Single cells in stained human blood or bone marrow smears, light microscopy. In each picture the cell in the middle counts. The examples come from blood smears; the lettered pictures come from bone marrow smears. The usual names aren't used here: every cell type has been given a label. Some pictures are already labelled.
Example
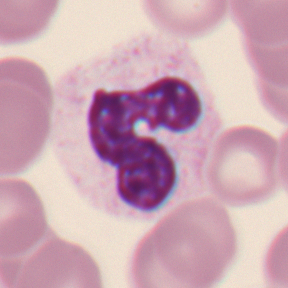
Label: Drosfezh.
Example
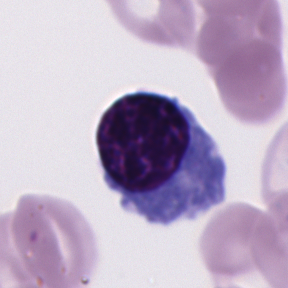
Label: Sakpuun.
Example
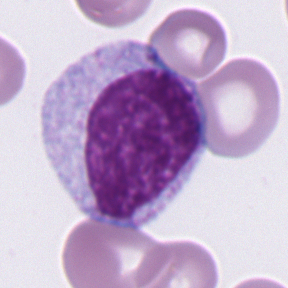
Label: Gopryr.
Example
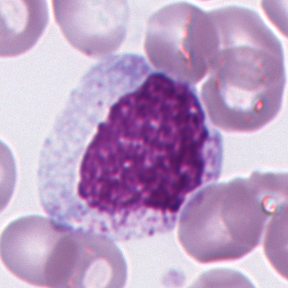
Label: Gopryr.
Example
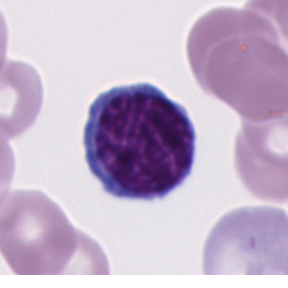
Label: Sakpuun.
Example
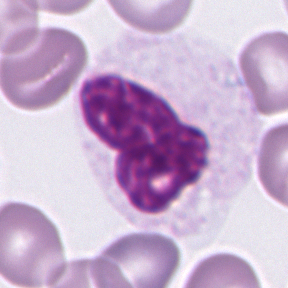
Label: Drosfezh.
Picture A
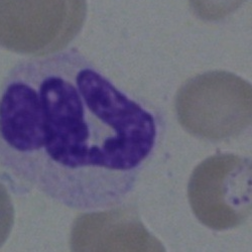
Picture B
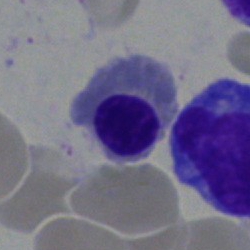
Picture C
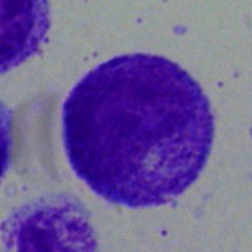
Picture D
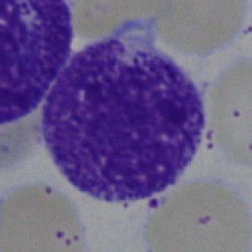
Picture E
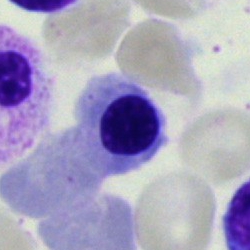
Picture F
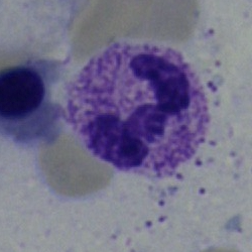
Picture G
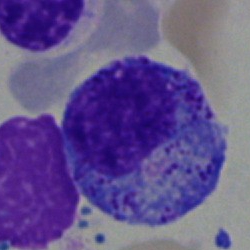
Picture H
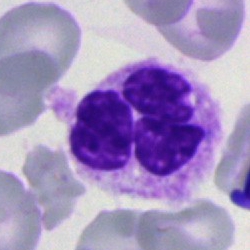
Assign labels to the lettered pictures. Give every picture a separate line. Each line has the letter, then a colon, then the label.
A: Drosfezh.
B: Sakpuun.
C: Gopryr.
D: Gopryr.
E: Sakpuun.
F: Drosfezh.
G: Gopryr.
H: Drosfezh.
